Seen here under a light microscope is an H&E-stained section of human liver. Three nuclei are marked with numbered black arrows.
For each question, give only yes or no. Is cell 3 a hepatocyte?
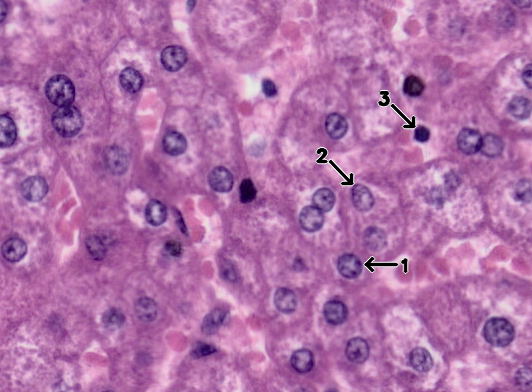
no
